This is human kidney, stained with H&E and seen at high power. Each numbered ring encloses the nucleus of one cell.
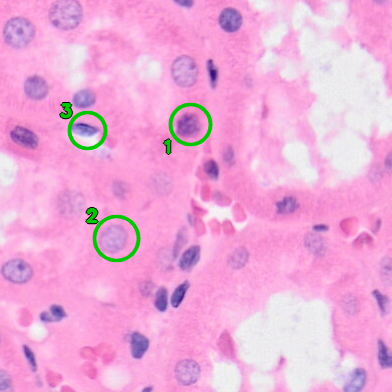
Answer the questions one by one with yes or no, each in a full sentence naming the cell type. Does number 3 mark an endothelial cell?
Yes, the cell at the mark numbered 3 is an endothelial cell.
